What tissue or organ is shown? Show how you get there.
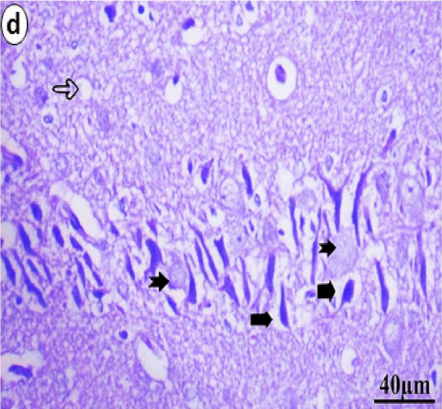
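Hipopocampus. Pale fibrillar neuropil lies above and below the cell band.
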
